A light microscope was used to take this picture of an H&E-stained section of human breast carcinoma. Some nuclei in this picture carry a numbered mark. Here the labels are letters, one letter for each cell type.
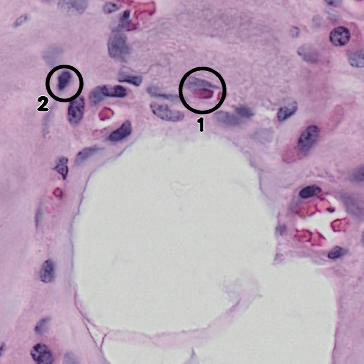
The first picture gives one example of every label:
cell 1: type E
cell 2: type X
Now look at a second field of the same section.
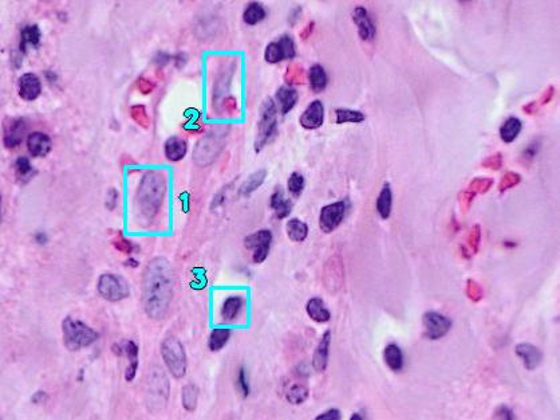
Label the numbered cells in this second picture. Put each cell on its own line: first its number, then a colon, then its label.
1: type E
2: type E
3: type X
